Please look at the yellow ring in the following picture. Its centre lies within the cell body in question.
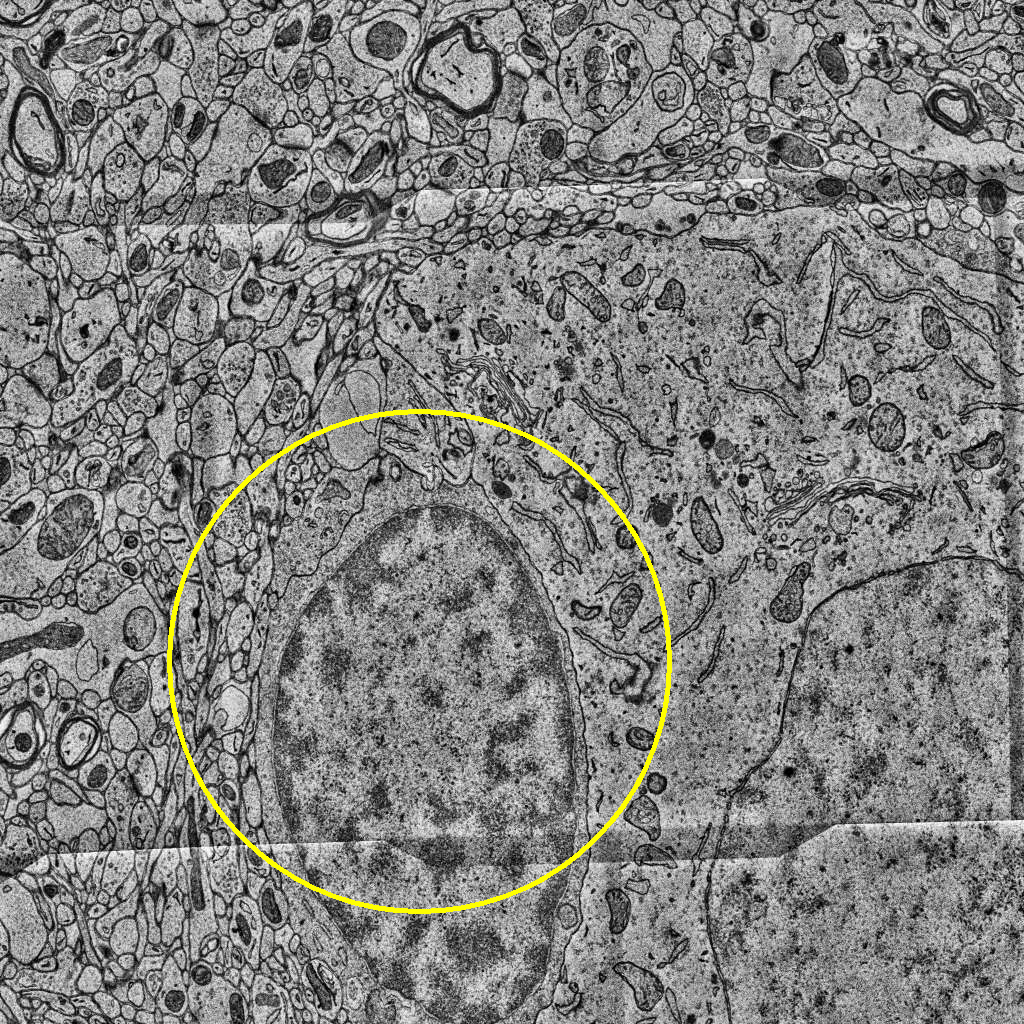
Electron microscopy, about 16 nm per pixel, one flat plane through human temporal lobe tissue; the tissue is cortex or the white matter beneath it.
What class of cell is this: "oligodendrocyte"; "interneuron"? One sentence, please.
The centre of the ring lies in the cell body of an oligodendrocyte.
